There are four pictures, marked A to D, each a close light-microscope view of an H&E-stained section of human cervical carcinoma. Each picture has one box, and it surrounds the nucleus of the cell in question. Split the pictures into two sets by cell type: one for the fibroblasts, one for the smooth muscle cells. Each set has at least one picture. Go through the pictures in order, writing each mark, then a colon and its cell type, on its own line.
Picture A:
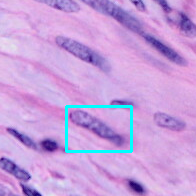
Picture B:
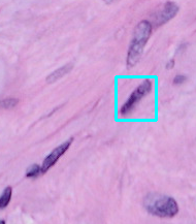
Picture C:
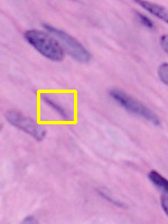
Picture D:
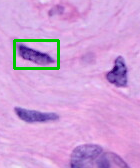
A: smooth muscle cell
B: fibroblast
C: fibroblast
D: fibroblast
